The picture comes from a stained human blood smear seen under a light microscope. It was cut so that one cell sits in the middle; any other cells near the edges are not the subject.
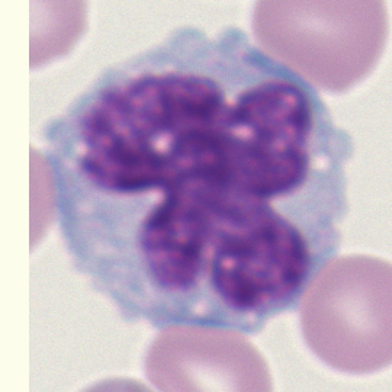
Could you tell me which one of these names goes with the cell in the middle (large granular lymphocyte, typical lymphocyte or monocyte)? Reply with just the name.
monocyte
